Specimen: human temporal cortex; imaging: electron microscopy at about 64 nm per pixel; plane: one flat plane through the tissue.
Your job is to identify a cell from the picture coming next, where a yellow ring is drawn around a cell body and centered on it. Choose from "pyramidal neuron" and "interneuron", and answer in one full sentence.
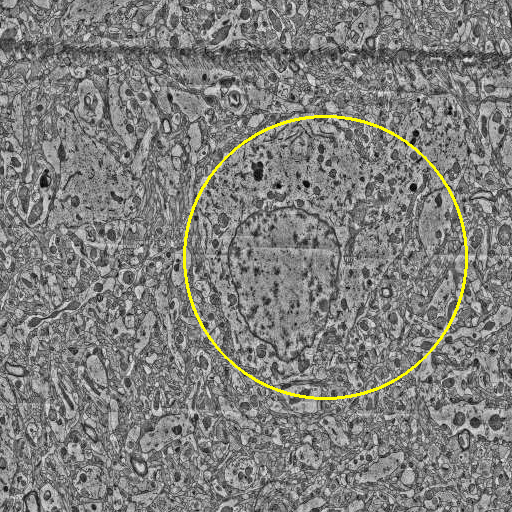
Centered in the yellow ring of the picture is the body of a pyramidal neuron.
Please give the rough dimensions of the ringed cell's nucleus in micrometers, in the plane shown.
The nucleus is approximately 9 micrometers long by 7 micrometers wide in this plane.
